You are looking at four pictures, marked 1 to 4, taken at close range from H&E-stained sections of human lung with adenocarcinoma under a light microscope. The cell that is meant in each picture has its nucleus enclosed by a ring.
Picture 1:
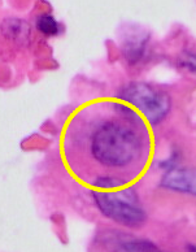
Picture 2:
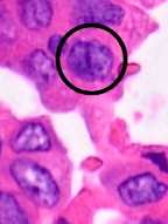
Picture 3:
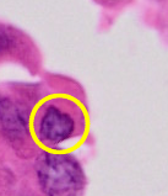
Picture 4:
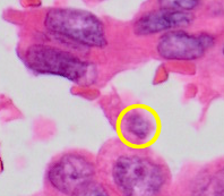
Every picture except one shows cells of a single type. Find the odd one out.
4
